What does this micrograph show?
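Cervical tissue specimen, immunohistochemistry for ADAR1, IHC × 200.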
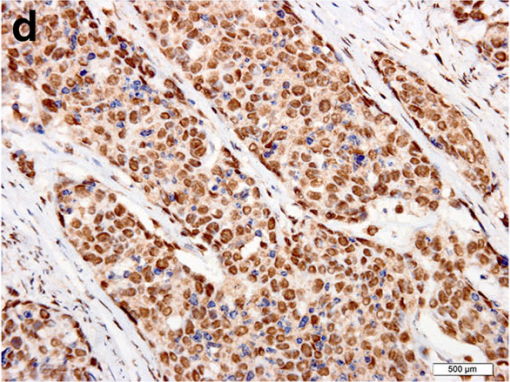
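Tumour cells form broad solid nests and sheets, separated by narrow bands of pale fibrous stroma with thin spindle-shaped cells. Inside the nests the cells are crowded, with rounded to oval nuclei of varying size that stain dark brown, and a lighter brown cytoplasm. Unlike keratinizing tumours, the nests show no central keratin pearls; the cells look alike from edge to centre.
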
